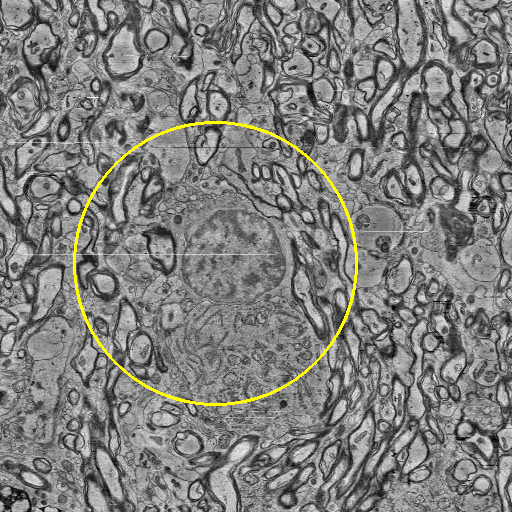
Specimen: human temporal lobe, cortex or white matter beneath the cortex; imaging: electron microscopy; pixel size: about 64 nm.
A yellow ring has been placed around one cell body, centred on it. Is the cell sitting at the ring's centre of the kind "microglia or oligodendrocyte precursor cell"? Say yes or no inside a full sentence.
No, the cell at the centre of the yellow ring belongs to a different kind.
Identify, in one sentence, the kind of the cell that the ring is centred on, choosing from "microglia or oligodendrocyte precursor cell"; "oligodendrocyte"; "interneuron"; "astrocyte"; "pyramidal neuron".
The cell that the ring is centred on is an oligodendrocyte.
